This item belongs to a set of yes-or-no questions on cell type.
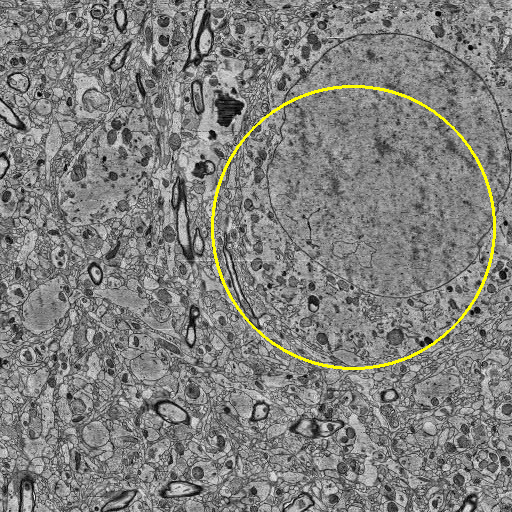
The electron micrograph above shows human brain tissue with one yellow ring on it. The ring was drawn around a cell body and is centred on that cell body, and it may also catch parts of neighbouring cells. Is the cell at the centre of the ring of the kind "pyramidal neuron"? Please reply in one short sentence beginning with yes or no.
Yes, that cell is of the named kind.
